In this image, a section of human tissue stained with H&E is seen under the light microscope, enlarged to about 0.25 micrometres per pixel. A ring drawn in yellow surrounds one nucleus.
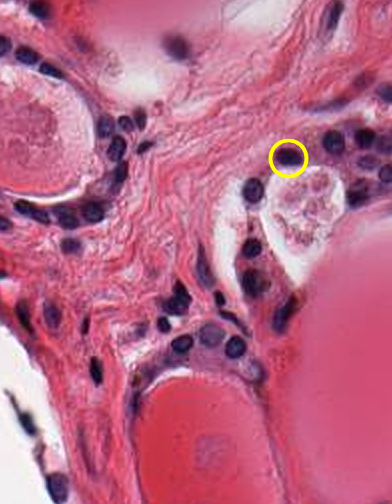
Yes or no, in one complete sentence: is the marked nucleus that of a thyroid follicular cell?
Yes, the marked nucleus, in this picture, is that of a thyroid follicular cell.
